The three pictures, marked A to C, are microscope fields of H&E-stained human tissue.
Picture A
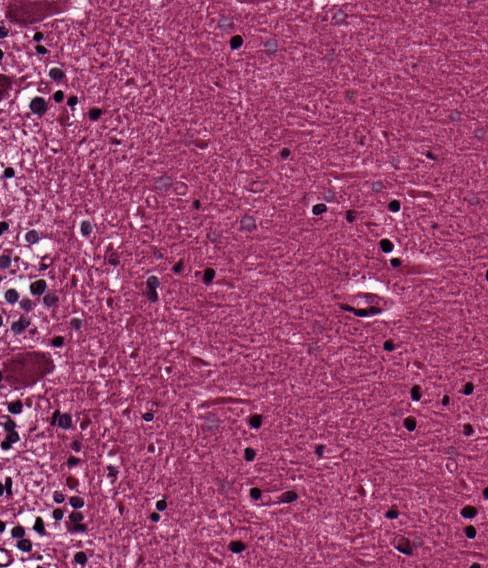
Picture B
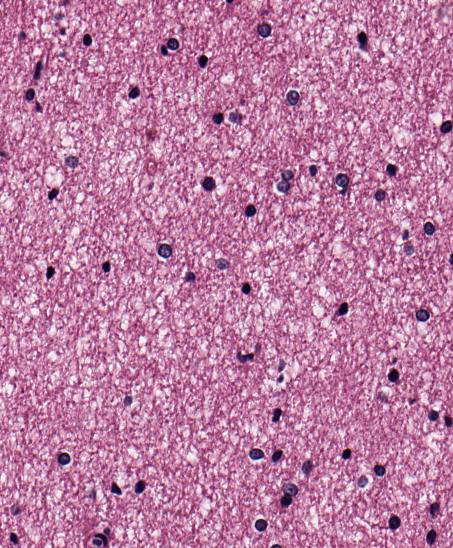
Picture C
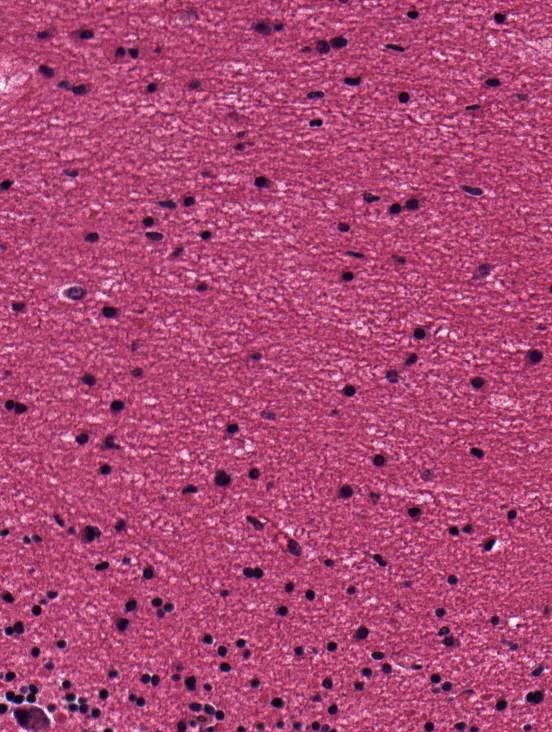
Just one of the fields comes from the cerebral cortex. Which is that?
B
